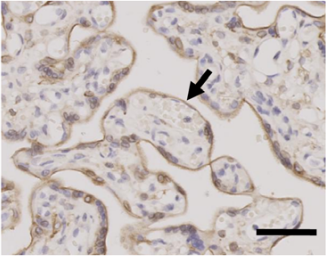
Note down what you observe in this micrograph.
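These are cross-sections of placental villi, each covered by a thin brown-stained layer of trophoblast cells facing the empty intervillous space. The covering layer is continuous and narrow, with small flattened or rounded blue nuclei lying within it, some gathered into small clusters. Inside each villus lies a looser stroma with scattered blue nuclei and pale, open spaces corresponding to small vessels. The brown stain is concentrated at the villous surface, with fainter brown tinge in the stromal core.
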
